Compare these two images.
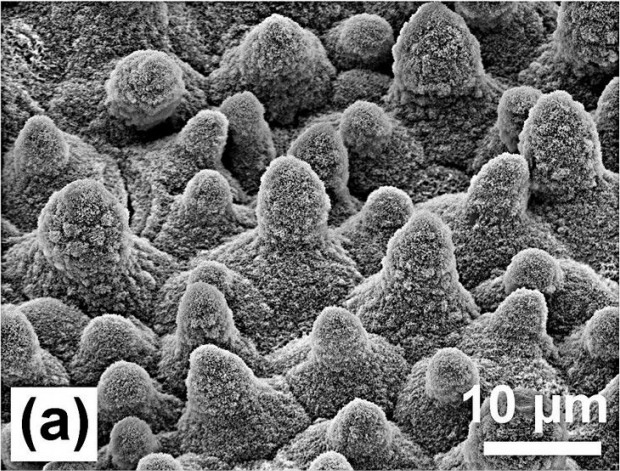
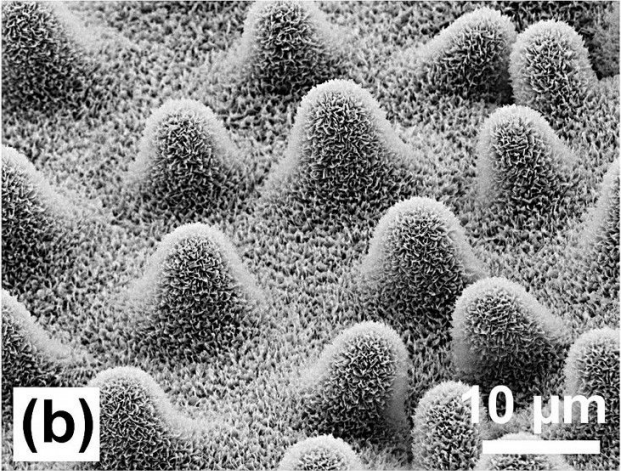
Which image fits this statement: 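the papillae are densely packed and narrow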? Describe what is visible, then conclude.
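Second image: broad dome-shaped protrusions stand well apart with flat surface between them. First image: many narrow protrusions of varying height crowd closely together. The answer: the first image.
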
